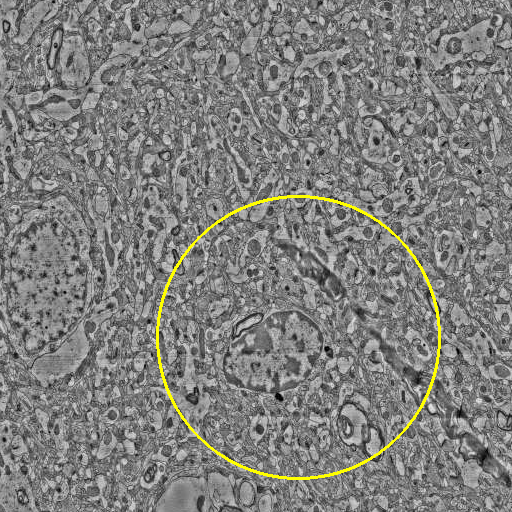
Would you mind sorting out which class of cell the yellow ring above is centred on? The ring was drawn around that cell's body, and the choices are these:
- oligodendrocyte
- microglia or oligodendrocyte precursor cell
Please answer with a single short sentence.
This is the cell body of a microglial cell or oligodendrocyte precursor cell.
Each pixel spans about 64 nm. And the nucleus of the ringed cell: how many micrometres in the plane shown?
About 7 by 5 micrometers for the nucleus, in this plane.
